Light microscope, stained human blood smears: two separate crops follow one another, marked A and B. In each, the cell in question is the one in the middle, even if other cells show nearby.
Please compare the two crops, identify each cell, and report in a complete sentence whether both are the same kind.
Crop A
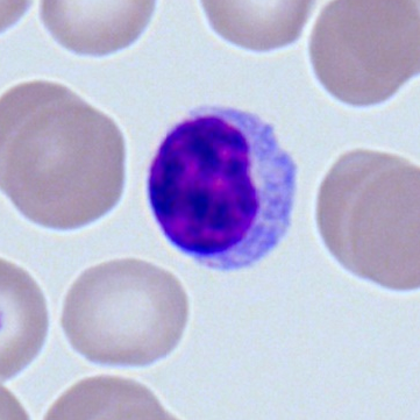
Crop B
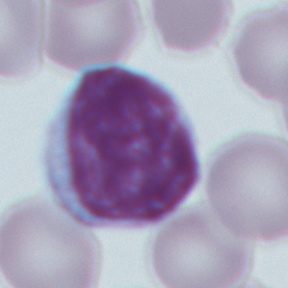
Yes, lymphocytes occupy the centre of both crops.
